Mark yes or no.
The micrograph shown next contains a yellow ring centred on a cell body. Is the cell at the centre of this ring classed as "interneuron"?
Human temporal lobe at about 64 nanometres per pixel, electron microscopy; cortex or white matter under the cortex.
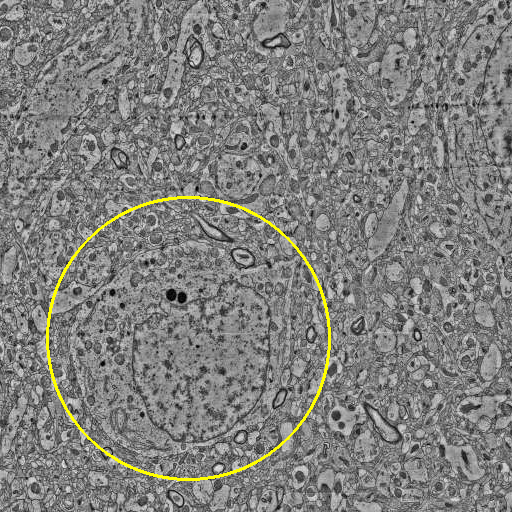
yes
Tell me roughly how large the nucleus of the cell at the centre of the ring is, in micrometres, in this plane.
In this plane the nucleus spans approximately 11 by 9 micrometers.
